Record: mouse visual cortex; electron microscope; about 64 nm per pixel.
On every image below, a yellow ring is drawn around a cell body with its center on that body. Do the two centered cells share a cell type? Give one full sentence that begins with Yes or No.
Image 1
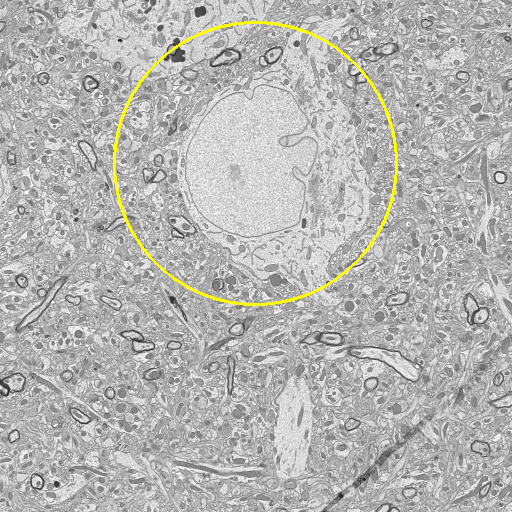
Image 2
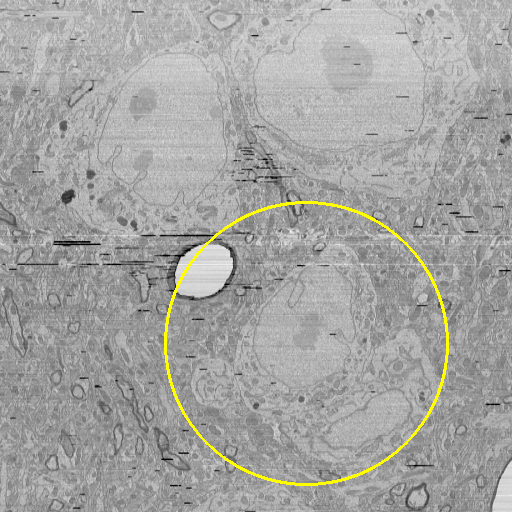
No, the centered cells in the two images are of two separate cell types.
